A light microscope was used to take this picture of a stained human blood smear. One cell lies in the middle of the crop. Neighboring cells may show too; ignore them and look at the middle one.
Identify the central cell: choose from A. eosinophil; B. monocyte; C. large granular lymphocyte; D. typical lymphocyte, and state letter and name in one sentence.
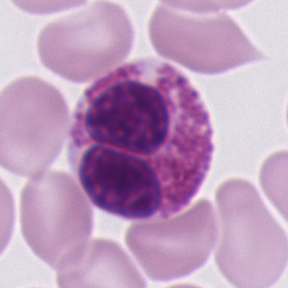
That the central cell is an eosinophil makes option A correct.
